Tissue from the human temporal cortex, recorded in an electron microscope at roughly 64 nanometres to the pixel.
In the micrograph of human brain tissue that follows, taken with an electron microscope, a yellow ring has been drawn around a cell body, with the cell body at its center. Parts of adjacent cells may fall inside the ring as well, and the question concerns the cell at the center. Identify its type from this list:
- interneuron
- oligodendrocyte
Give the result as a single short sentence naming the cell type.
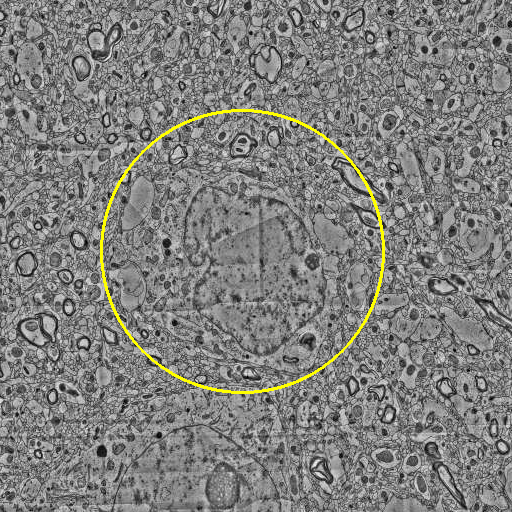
The ring is centered on an interneuron.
